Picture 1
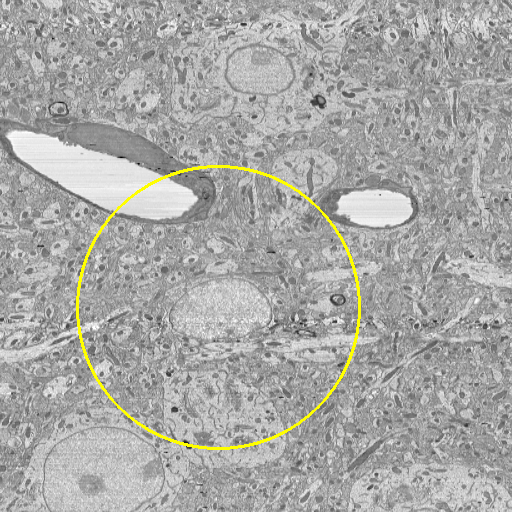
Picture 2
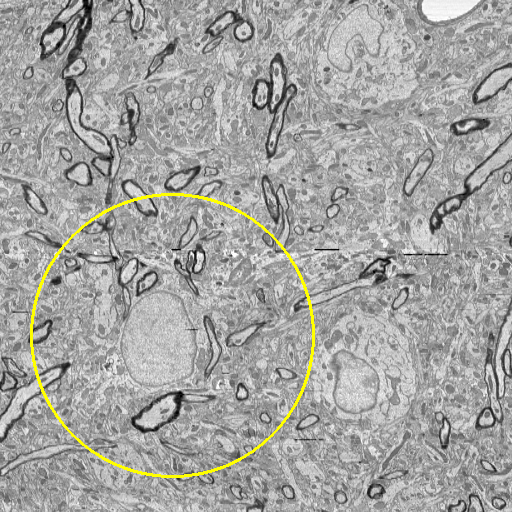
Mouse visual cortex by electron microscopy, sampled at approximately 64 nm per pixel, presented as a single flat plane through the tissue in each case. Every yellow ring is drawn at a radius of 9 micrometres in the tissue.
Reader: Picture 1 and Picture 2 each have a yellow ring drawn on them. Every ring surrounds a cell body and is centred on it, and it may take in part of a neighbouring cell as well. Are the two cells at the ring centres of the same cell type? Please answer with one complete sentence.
Yes, both cells are of the same cell type.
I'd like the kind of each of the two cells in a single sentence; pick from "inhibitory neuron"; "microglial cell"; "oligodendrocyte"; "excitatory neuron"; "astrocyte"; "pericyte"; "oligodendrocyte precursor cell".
Each of the two cells is an astrocyte.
